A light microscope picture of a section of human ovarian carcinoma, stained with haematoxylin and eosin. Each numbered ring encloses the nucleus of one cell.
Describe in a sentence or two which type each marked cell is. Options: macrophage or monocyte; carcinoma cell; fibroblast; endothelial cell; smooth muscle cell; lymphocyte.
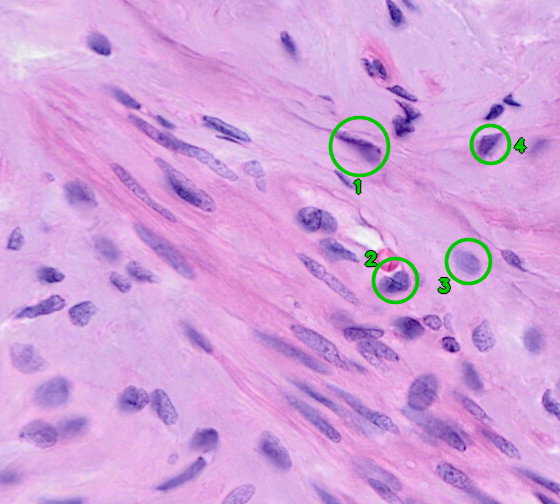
Cell 1 is a fibroblast, cell 2 is an endothelial cell, cell 3 is a fibroblast and cell 4 is a fibroblast.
